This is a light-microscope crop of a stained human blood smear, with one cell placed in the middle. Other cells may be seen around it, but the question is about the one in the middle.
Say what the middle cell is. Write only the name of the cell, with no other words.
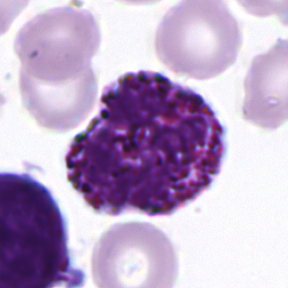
basophil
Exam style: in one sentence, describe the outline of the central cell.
No projections interrupt the outline; it is smooth all the way round.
